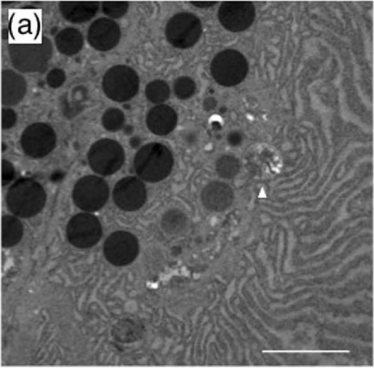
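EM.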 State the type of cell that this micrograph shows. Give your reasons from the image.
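Pancreatic acinar cells. Many large, uniformly electron-dense round granules crowd one part of the cytoplasm. Long parallel stacks of rough endoplasmic reticulum fill the other part.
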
